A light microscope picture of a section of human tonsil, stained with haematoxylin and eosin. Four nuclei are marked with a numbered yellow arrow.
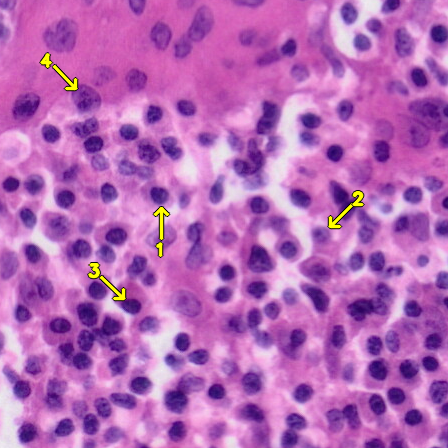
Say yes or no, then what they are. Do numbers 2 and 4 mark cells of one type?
No, hold on, cell 2 is a plasma cell and cell 4 is a squamous epithelial cell.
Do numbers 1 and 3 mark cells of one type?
Yes, note that cells 1 and 3 are both plasma cells.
